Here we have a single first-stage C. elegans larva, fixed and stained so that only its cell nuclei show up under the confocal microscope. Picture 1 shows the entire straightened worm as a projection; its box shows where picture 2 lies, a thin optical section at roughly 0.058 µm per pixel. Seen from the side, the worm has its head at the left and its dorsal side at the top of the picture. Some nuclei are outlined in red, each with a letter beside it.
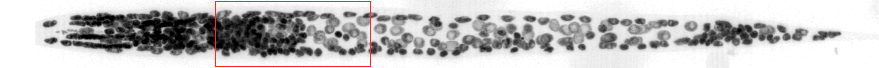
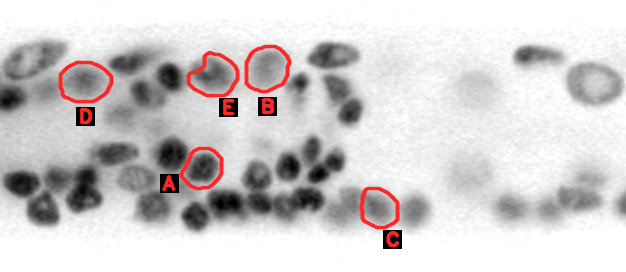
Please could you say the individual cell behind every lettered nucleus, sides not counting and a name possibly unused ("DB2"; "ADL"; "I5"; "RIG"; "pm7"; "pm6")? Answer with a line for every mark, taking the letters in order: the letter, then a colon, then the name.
A: I5
B: pm7
C: RIG
D: ADL
E: pm6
